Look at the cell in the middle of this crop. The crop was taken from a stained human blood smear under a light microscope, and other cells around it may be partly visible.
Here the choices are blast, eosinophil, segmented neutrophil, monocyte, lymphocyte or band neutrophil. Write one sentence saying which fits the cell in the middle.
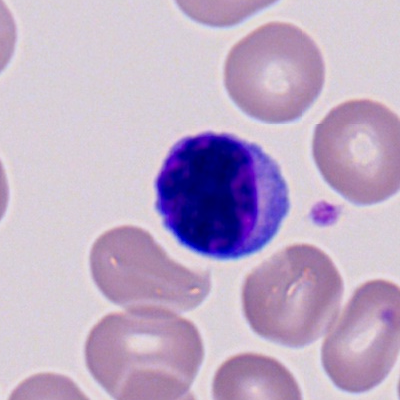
The crop centres on a single cell, and that cell is a lymphocyte.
